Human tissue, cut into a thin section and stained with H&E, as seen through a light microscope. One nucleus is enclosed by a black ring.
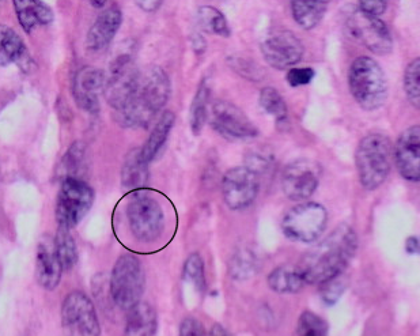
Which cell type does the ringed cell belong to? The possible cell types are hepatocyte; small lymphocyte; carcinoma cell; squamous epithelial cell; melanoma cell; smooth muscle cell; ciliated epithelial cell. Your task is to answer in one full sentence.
Histopathologically, the ringed cell is a melanoma cell.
